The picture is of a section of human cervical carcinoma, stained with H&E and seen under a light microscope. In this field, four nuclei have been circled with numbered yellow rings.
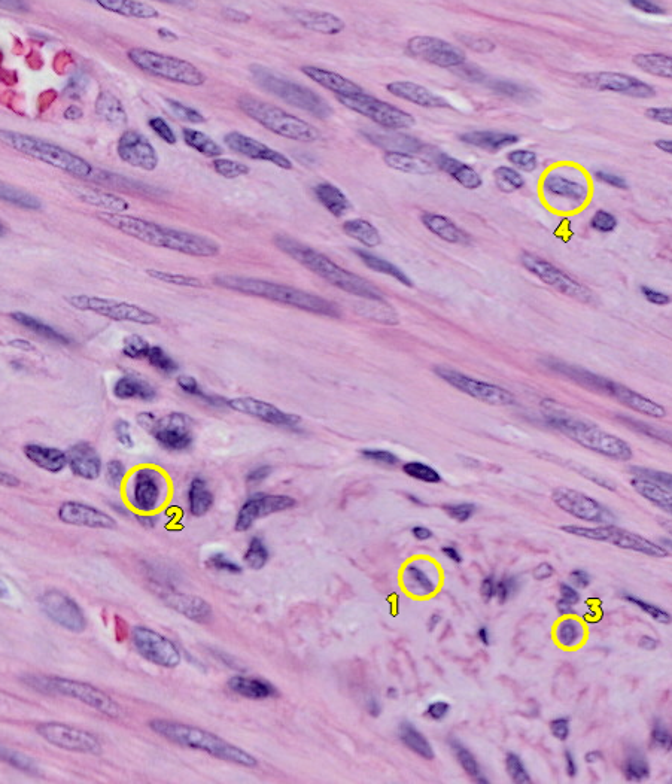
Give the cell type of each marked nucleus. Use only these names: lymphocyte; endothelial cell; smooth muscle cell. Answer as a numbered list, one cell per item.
1. smooth muscle cell
2. lymphocyte
3. smooth muscle cell
4. smooth muscle cell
